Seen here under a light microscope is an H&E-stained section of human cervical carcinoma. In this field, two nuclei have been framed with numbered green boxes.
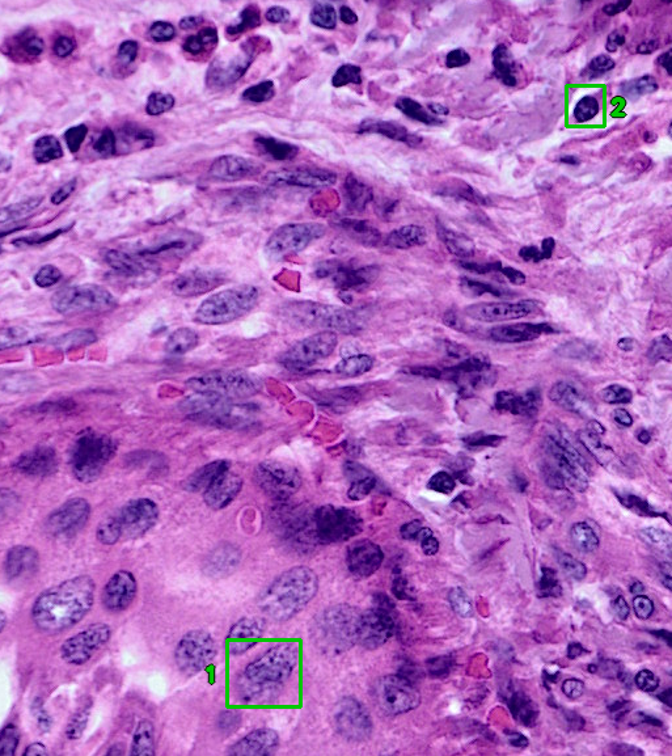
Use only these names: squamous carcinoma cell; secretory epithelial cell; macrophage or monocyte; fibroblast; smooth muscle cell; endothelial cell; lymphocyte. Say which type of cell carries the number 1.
squamous carcinoma cell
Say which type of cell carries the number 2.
lymphocyte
